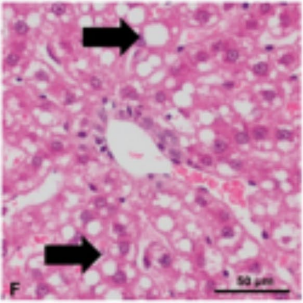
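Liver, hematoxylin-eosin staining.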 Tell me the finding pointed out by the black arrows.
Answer: Hepatocyte steatosis.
